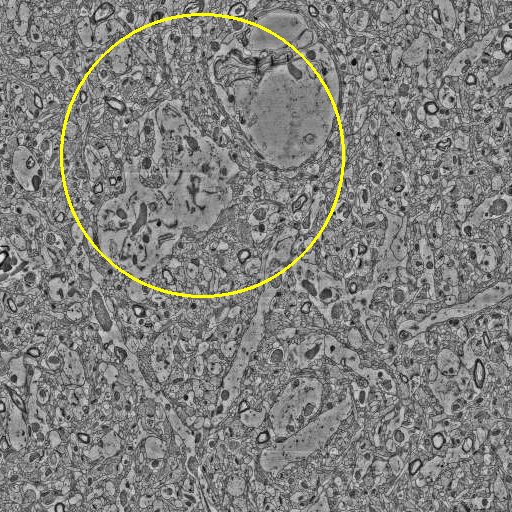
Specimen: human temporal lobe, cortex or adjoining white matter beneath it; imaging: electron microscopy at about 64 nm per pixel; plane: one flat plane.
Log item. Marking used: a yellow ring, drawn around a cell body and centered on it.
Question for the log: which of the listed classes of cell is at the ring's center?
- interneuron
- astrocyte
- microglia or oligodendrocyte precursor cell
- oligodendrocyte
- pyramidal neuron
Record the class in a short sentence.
At the center of the ring lies an astrocyte.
